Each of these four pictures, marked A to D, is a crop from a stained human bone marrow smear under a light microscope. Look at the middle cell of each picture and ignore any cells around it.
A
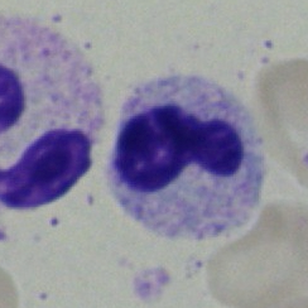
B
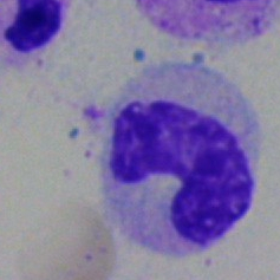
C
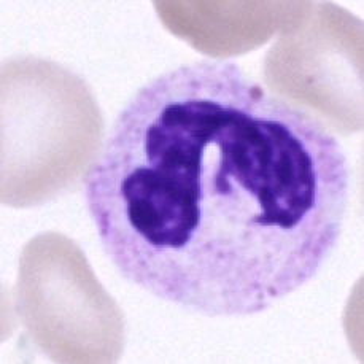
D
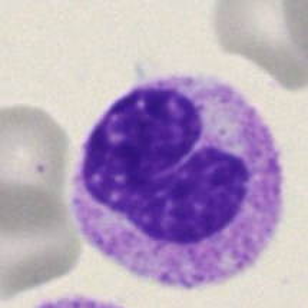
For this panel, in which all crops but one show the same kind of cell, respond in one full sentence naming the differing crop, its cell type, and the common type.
The cells centred in the other crops are all band neutrophils, but crop C is a segmented neutrophil.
